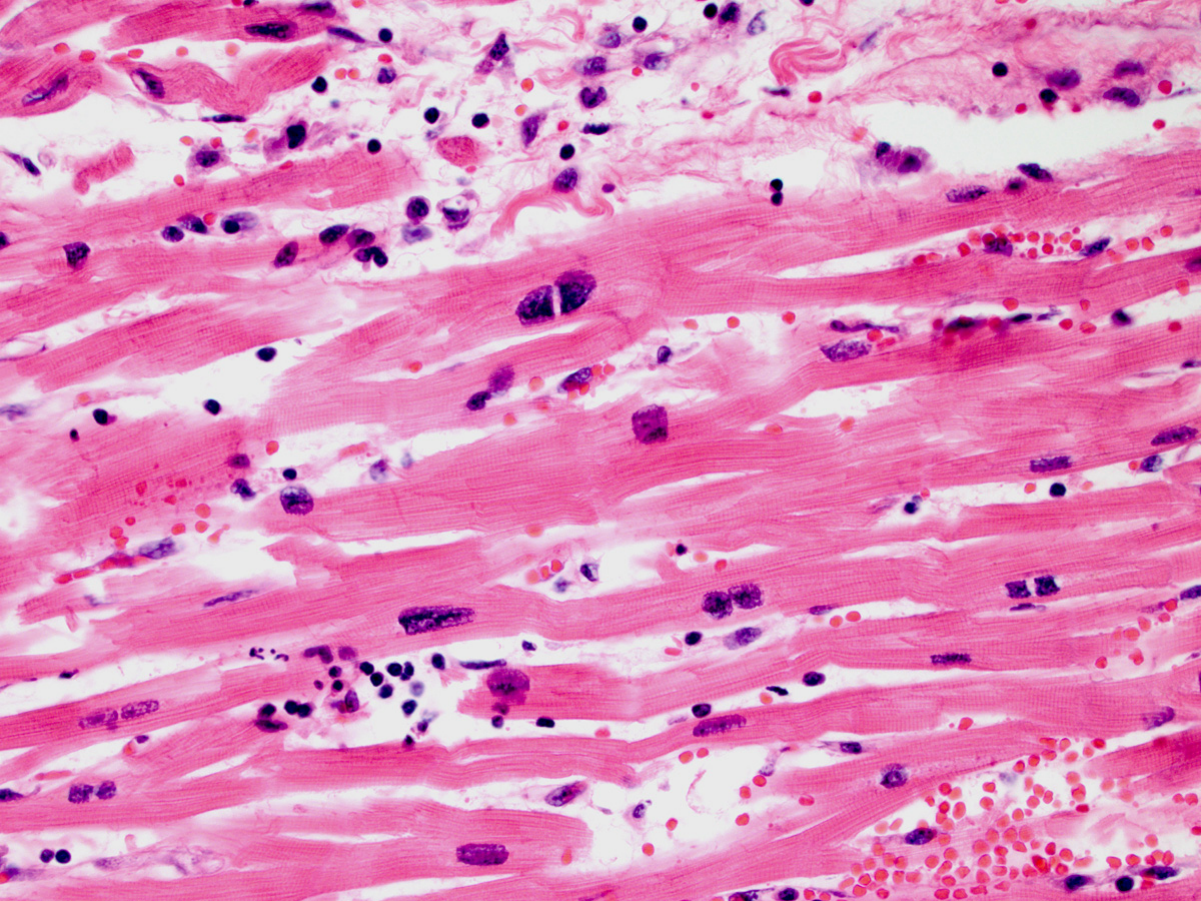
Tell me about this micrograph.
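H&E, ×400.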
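Heart muscle in which long, branching, cross-striated pink myocytes run in parallel, with small lymphocytes scattered in the interstitium between them. The lymphocytes have small, round, dark-purple nuclei and scanty cytoplasm. A few of them lie in a loose, pale area at the top of the field. Several myocytes hold two large, dark central nuclei side by side, and red blood cells are scattered in the spaces between the fibres.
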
